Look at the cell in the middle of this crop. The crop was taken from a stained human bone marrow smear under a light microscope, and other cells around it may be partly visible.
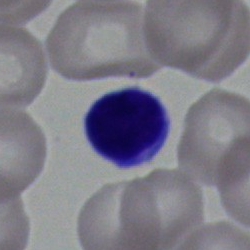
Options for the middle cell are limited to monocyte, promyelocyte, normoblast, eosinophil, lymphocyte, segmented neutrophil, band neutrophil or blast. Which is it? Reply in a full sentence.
Among the cells in view, the one in the middle is a lymphocyte.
